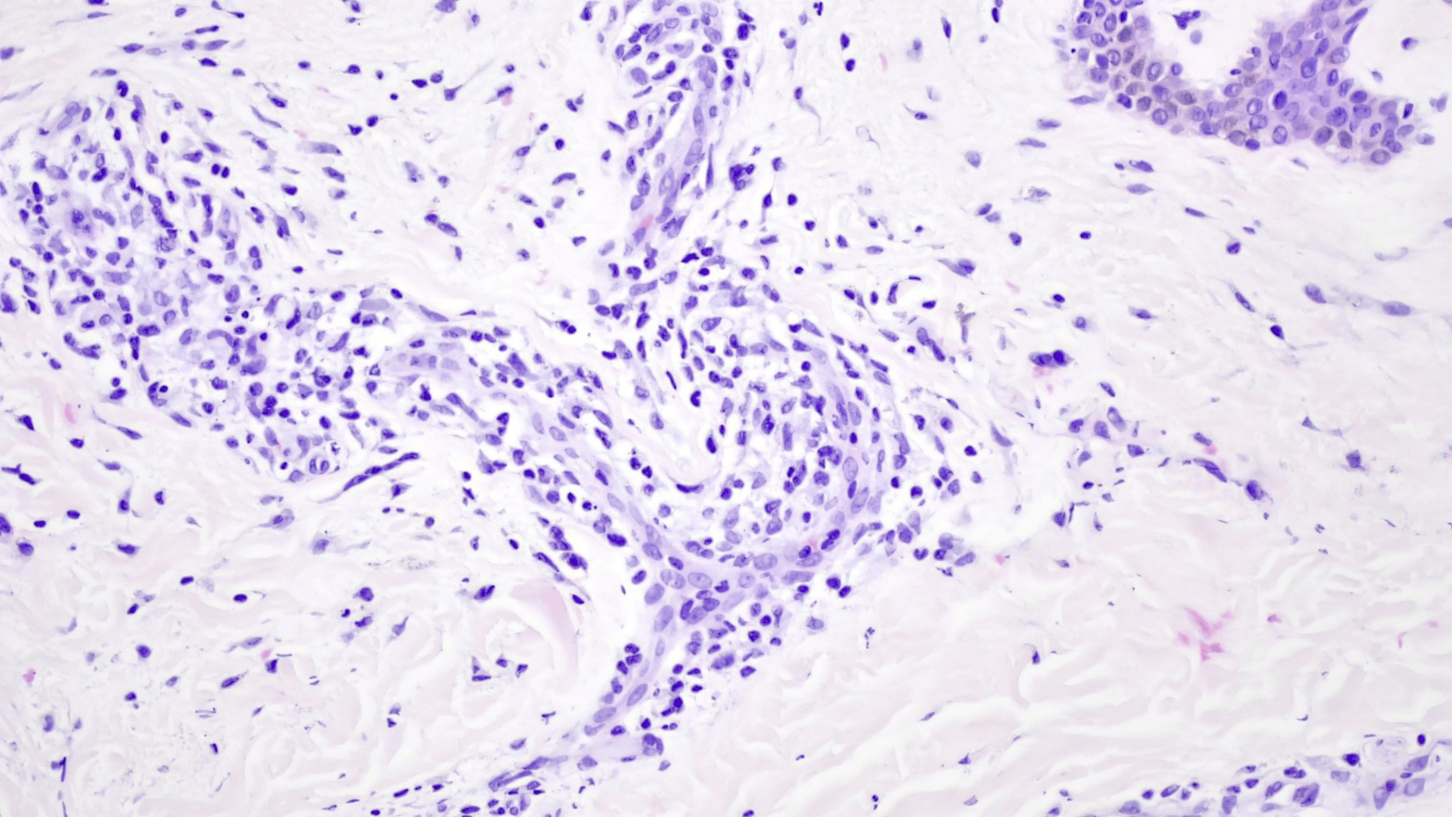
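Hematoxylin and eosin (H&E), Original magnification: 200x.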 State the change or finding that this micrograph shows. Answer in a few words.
Perivascular infiltrate.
